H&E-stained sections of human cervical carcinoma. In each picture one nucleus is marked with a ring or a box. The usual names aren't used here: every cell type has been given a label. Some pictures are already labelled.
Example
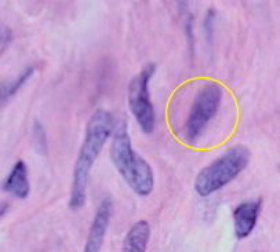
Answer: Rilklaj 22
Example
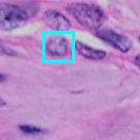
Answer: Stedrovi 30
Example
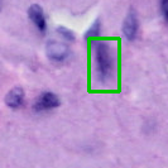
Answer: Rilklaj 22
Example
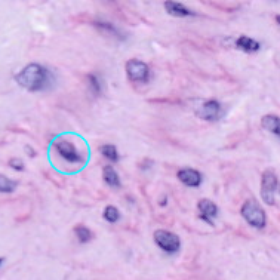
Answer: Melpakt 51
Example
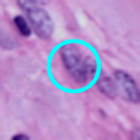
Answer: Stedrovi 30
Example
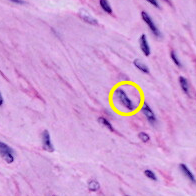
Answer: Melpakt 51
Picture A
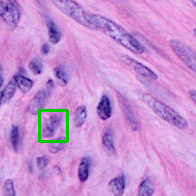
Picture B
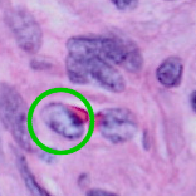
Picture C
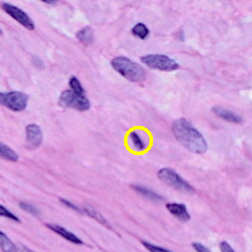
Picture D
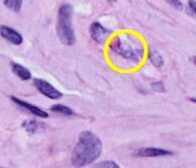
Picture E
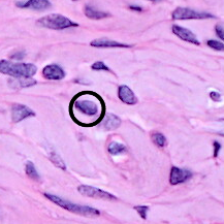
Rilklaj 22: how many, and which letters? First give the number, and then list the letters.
2, namely C, E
